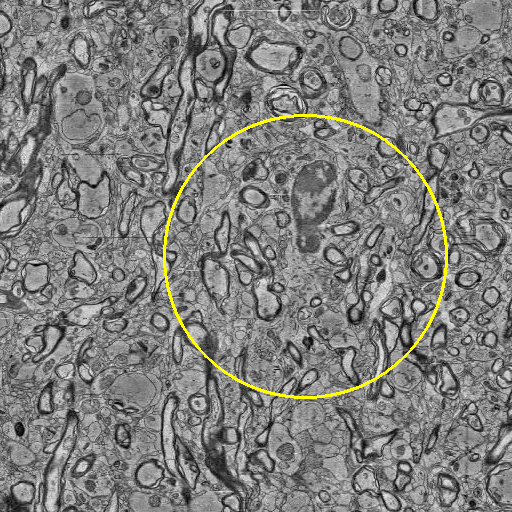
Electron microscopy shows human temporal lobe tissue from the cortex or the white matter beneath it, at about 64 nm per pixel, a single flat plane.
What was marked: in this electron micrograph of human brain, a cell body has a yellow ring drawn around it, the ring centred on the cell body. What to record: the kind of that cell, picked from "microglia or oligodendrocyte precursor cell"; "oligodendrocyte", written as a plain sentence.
The centred cell is a microglial cell or oligodendrocyte precursor cell.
